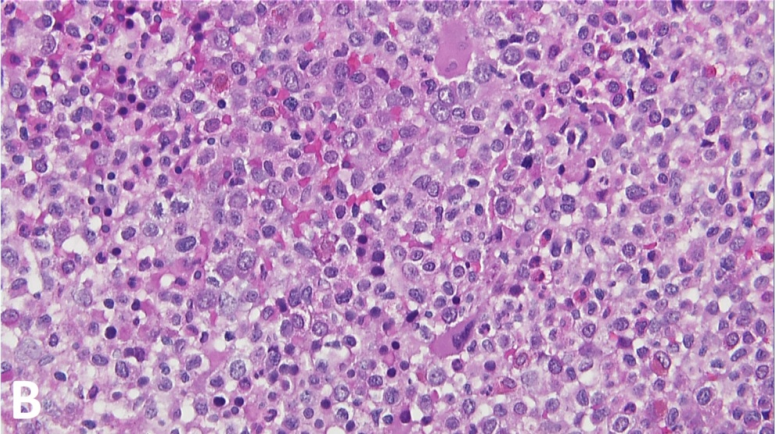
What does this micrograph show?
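This is a section of bone marrow stained pink and purple, in which the marrow is hypercellular. Cells are packed densely across the whole field, and no fat spaces are seen between them. The cells vary in size, from small cells with dark round nuclei to larger cells with paler, oval nuclei and pink cytoplasm. A few very large cells with abundant pink cytoplasm are scattered among them. Small pink areas of red blood cells lie between the cells.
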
